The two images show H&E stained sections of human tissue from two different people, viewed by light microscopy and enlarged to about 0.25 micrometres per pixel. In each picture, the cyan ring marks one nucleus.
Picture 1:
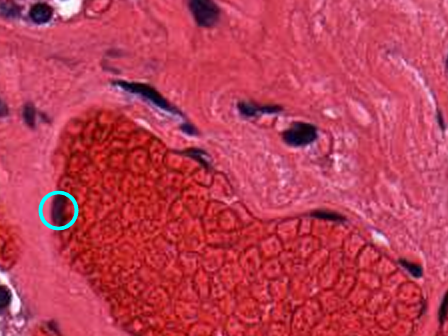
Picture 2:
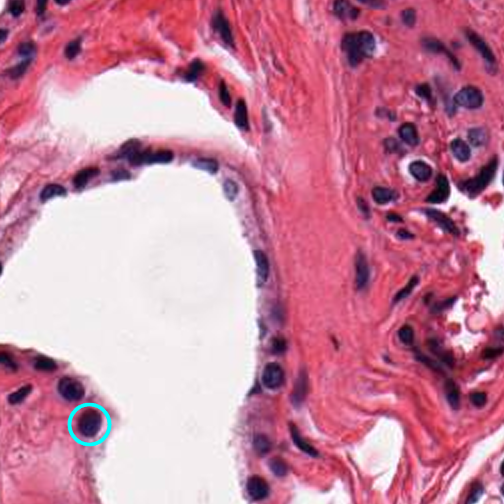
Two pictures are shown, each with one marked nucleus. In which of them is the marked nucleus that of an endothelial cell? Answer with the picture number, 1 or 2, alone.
1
